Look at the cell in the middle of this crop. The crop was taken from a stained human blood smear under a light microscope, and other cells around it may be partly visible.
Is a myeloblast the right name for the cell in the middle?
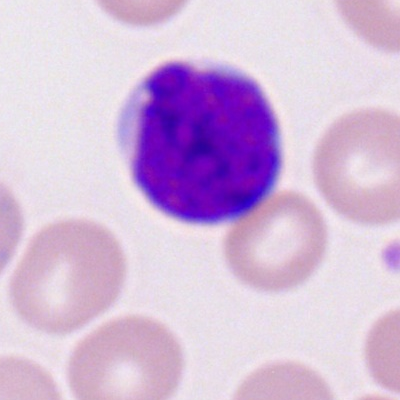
yes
